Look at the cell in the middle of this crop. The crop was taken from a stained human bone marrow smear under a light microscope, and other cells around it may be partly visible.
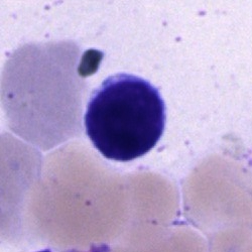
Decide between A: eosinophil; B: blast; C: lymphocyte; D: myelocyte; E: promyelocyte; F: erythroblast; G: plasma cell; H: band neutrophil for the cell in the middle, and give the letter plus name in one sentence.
That the central cell is a lymphocyte makes option C correct.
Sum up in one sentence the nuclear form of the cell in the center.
If you check the nucleus, you will find one compact mass, round, oval or kidney-shaped.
